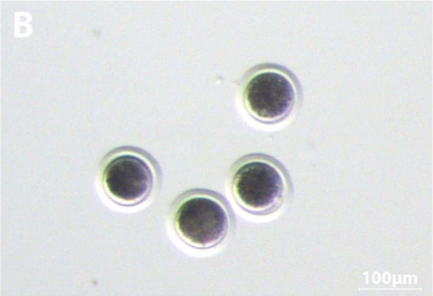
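Four free oocytes lie on a plain background, each a large spherical cell enclosed by a thick, clear coat that shows as a bright ring with a greenish rim. The cytoplasm is dark and opaque, mottled grey to black throughout, so that no inner structures can be distinguished. The cells are of similar size and regularly round, lying singly or touching one another, and no smaller surrounding cells are attached to them.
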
